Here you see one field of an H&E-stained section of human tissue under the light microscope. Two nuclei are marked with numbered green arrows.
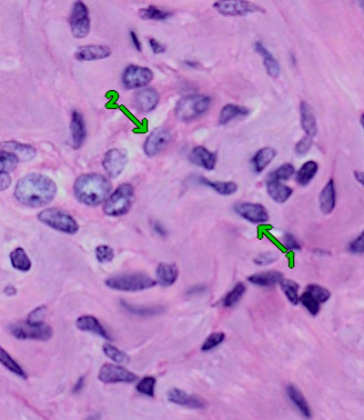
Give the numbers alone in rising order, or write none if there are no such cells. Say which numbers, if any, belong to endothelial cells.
2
